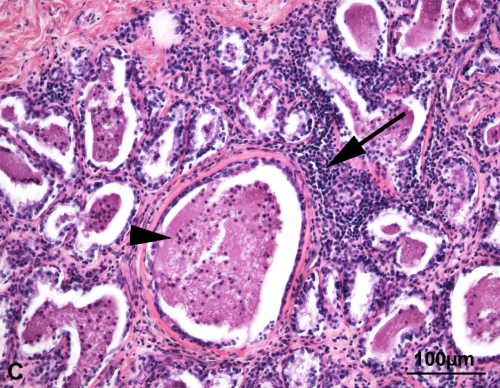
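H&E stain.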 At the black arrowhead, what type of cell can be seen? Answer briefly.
Neutrophils.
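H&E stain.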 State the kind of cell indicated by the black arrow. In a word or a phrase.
interstitial mononuclear inflammatory cells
